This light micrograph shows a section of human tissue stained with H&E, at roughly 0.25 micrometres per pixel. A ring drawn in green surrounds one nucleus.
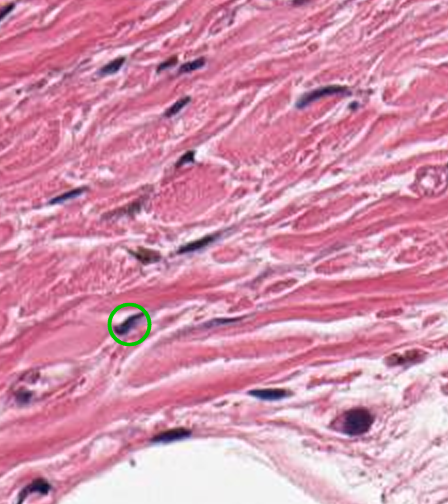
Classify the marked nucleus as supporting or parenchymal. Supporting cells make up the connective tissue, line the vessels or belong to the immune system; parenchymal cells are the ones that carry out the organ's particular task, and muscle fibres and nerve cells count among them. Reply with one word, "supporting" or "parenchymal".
supporting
